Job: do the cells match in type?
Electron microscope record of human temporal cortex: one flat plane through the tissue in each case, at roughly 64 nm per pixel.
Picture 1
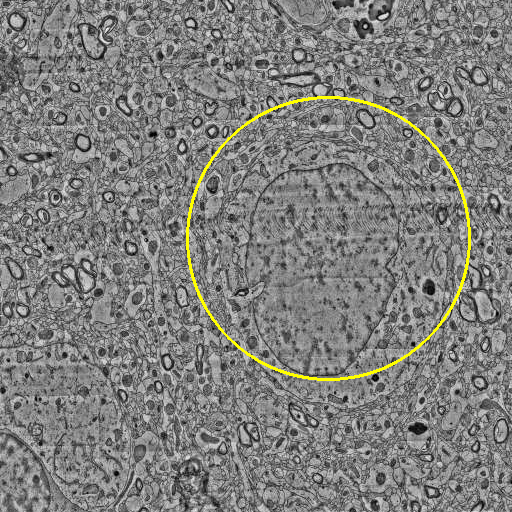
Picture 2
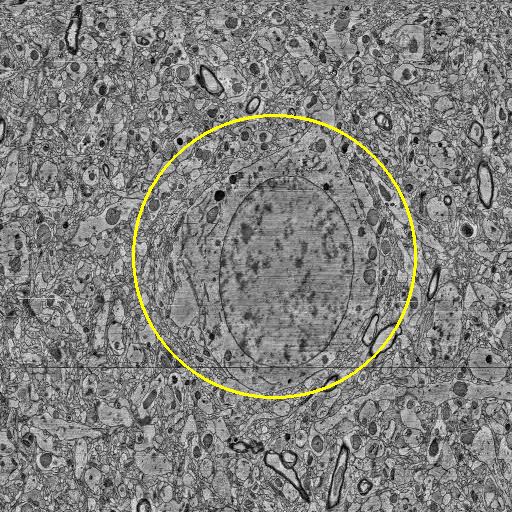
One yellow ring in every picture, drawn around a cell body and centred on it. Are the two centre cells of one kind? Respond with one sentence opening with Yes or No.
Yes, the ringed cells in the two pictures are of one and the same kind.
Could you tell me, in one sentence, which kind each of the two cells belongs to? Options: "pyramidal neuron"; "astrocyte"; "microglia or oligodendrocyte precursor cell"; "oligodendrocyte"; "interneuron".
Both cells are the same kind, each one being a pyramidal neuron.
